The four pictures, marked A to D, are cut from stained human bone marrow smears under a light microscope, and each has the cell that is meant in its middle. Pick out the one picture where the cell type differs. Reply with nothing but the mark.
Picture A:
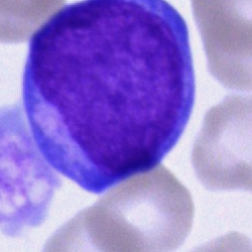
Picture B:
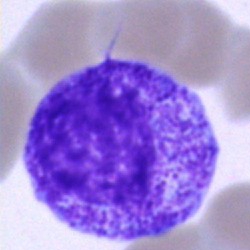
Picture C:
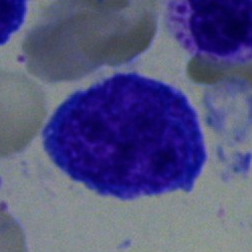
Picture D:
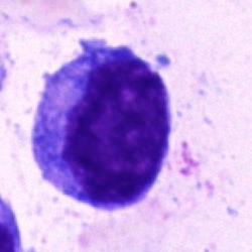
B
